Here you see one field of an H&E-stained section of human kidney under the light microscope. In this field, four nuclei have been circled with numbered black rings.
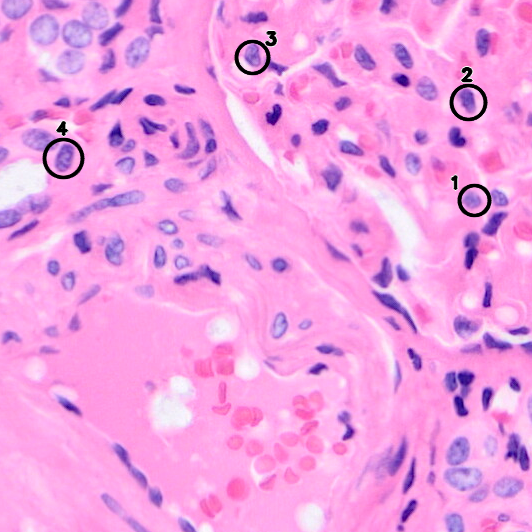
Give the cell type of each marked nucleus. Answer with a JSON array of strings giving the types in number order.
["endothelial cell", "endothelial cell", "endothelial cell", "collecting duct cell"]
